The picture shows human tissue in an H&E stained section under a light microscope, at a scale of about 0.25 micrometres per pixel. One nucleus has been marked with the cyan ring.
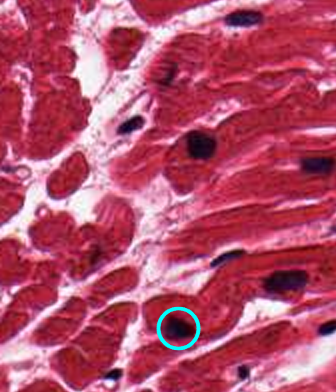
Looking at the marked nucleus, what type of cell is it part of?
cardiomyocyte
